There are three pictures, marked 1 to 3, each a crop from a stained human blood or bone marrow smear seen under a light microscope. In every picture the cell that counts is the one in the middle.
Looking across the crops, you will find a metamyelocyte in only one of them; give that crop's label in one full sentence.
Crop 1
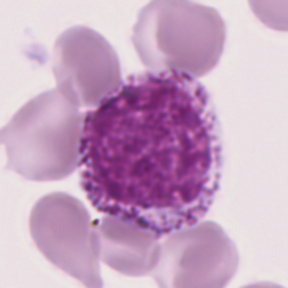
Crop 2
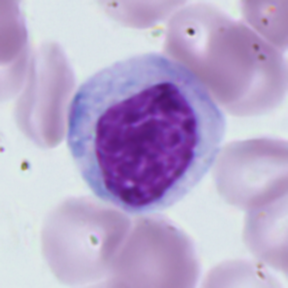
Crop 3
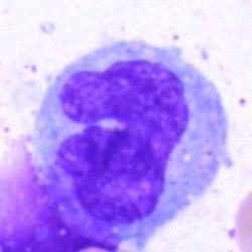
Of the labeled crops, the one with a metamyelocyte is crop 2.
